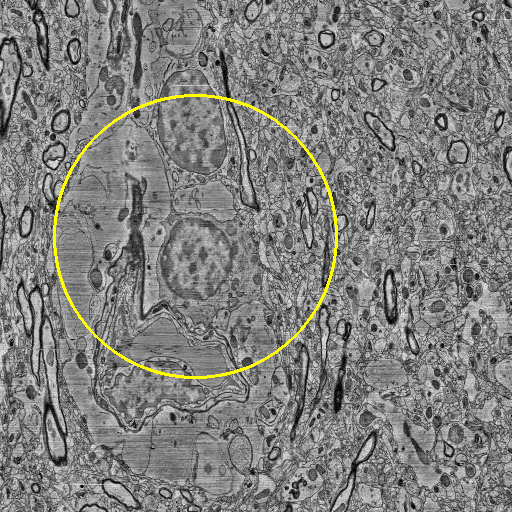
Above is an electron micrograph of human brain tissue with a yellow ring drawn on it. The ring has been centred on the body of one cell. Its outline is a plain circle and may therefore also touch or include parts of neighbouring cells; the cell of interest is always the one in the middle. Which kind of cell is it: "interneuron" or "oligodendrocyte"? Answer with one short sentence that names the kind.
The ring's central cell body is that of an oligodendrocyte.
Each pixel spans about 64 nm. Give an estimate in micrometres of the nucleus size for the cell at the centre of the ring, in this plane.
The nucleus of the ringed cell is approximately 5 micrometres across in this plane.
